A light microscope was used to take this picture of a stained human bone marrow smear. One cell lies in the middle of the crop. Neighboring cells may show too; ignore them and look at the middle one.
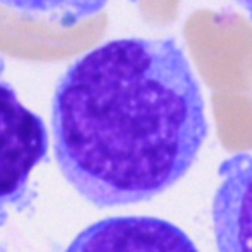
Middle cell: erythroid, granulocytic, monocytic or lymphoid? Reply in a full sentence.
The cell that sits at the center is attributed to the monocytic lineage.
